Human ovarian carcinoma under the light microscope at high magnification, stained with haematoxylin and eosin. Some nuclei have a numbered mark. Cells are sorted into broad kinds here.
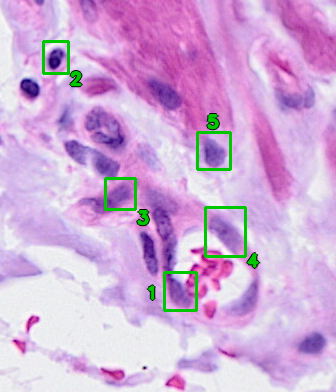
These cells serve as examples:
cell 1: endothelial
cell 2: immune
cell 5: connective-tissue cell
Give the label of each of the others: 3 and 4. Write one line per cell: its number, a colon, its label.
3: endothelial
4: endothelial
